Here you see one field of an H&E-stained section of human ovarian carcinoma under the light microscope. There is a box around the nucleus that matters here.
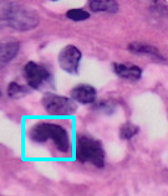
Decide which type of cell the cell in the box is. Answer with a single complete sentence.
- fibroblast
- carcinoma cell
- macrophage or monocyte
For cell typing purposes, the cell in the box is a carcinoma cell.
